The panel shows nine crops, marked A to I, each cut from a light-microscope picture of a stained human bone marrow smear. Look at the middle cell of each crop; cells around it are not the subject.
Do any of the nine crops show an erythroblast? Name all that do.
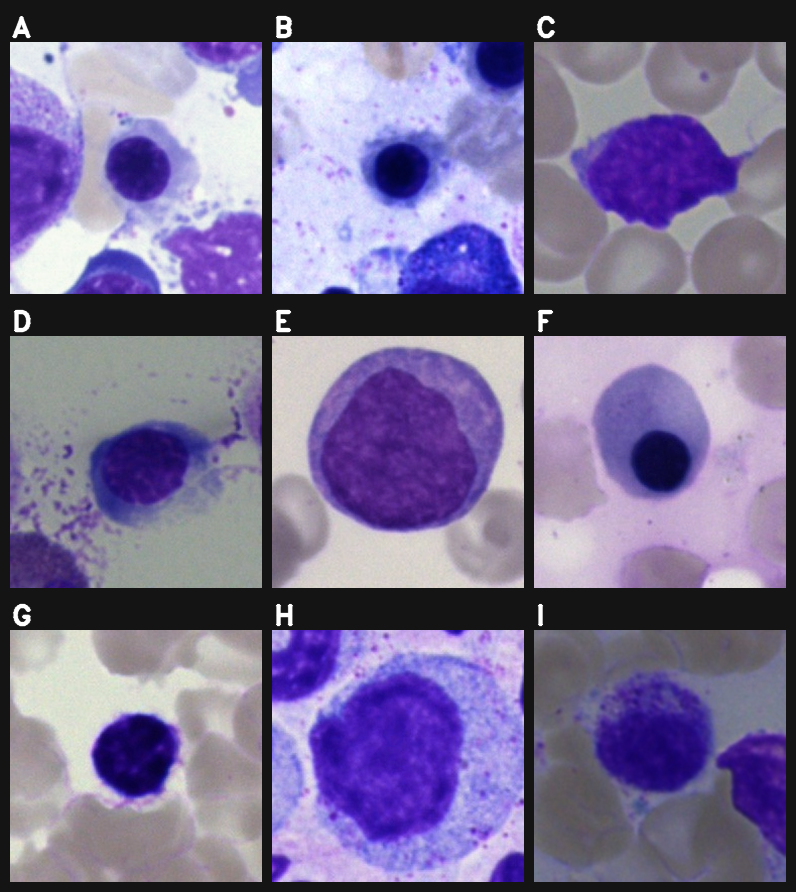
A, B, D, F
